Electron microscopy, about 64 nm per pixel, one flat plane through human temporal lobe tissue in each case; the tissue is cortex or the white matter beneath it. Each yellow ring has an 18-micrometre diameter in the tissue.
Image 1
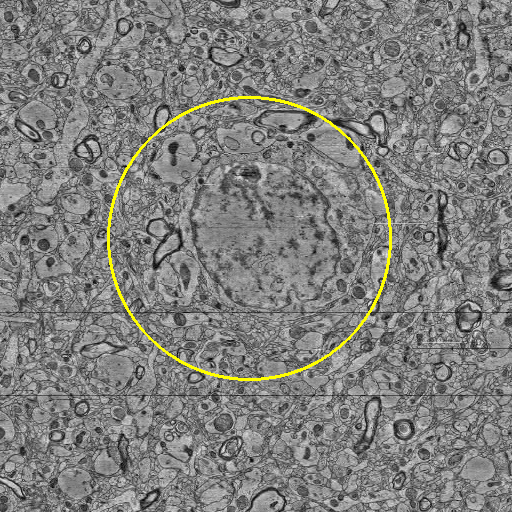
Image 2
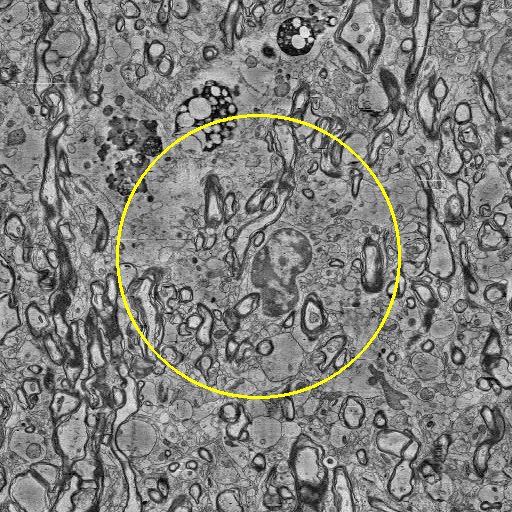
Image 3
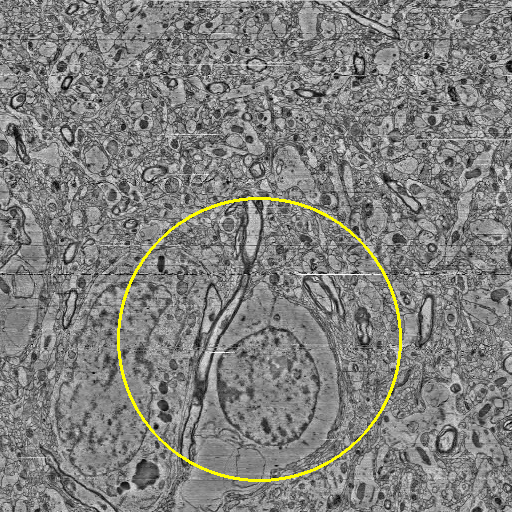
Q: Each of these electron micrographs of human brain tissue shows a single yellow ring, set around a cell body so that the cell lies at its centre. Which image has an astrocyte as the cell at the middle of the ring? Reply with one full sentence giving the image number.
In image 3, the cell lying at the ring's centre is the requested one.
